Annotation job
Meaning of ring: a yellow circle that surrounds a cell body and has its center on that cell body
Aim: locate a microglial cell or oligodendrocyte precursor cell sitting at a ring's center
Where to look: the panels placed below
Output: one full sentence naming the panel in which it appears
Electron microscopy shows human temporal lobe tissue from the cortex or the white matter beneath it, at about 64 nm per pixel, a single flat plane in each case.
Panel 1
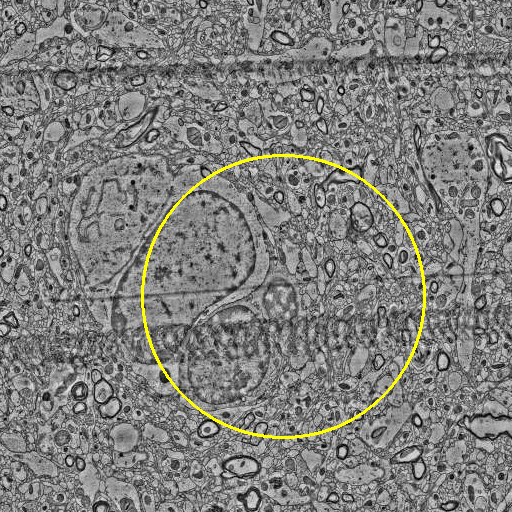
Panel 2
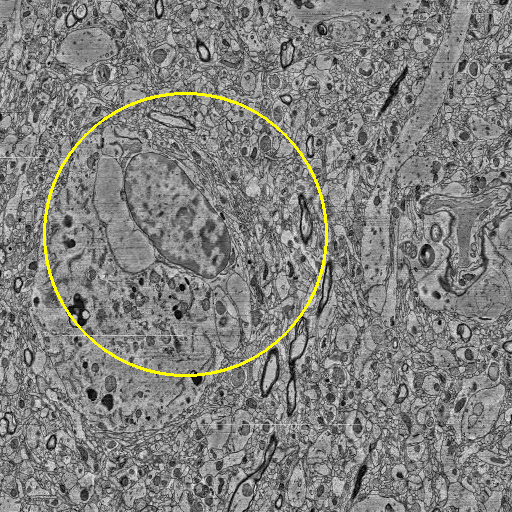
The cell at the center of the ring in panel 2 is the one sought.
